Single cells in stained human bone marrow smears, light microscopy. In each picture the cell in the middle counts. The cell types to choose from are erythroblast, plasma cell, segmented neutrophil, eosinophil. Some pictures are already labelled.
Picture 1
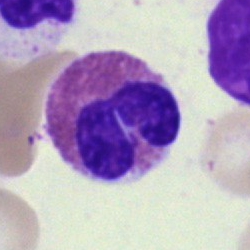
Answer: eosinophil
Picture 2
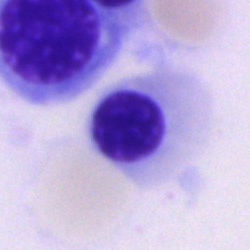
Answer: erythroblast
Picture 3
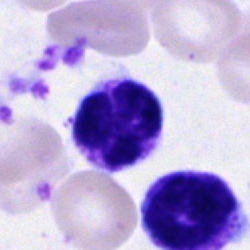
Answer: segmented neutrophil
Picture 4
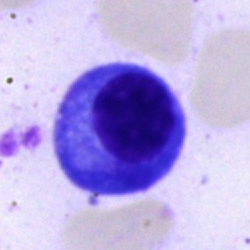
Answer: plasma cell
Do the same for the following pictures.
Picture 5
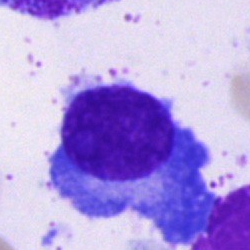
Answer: plasma cell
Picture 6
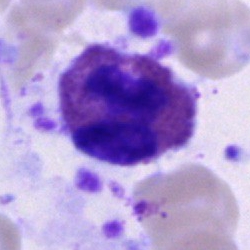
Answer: eosinophil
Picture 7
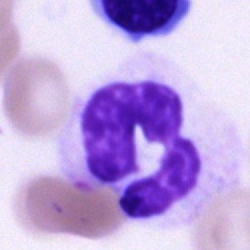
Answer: segmented neutrophil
